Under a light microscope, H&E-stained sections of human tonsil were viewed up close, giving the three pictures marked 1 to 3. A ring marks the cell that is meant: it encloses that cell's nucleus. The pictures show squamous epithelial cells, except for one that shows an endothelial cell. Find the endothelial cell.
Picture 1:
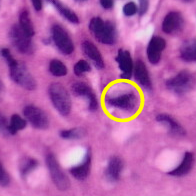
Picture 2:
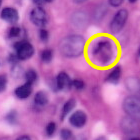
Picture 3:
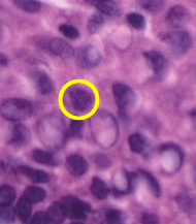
2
